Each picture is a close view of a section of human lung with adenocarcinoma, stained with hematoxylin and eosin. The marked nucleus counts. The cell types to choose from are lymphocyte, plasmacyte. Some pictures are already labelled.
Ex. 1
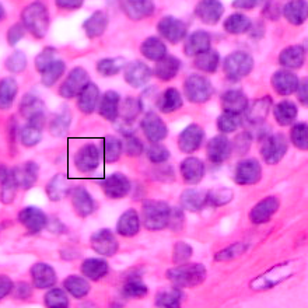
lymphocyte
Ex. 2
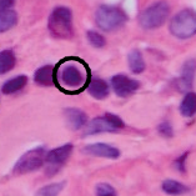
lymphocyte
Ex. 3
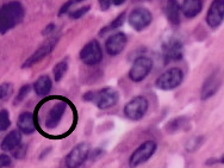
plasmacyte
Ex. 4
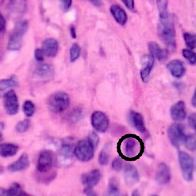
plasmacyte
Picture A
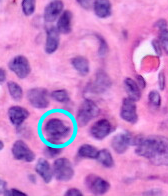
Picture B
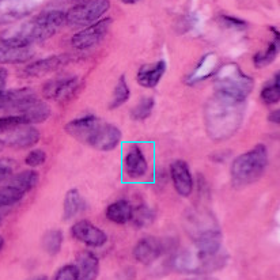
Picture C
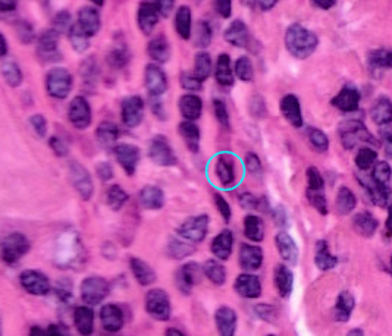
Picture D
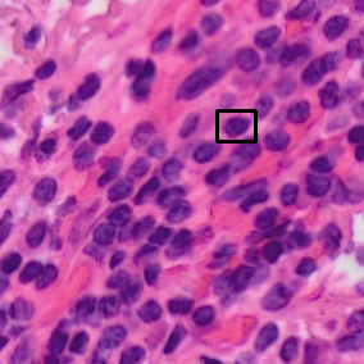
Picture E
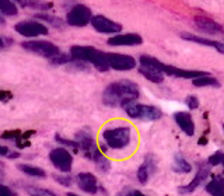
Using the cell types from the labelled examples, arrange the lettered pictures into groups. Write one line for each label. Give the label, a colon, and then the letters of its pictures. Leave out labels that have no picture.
lymphocyte: A, D, E
plasmacyte: B, C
